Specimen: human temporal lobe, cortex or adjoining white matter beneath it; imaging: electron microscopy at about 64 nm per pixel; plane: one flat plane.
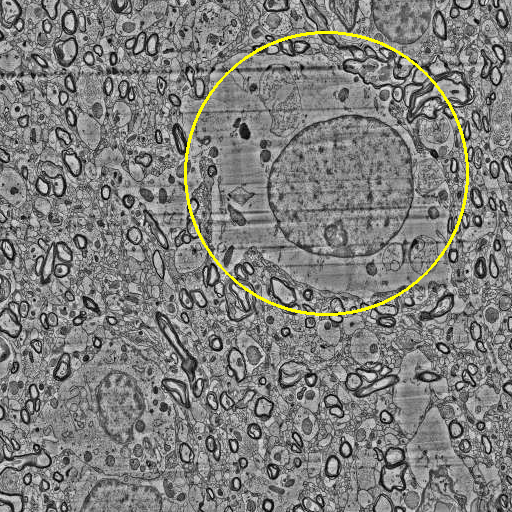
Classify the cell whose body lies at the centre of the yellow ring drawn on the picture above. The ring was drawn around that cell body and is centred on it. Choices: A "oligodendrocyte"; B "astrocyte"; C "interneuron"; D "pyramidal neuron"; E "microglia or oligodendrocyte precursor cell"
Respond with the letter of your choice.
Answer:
B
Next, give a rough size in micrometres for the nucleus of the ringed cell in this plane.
The nucleus measures about 9 micrometers across in this plane.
